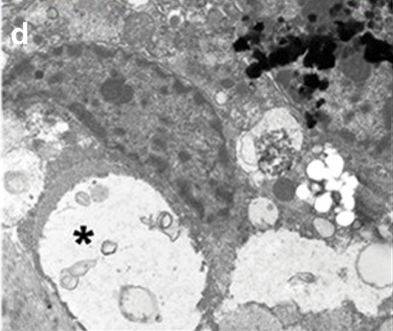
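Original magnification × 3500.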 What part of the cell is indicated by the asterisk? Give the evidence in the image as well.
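A large pale, electron-lucent space lies within the cytoplasm. It holds faint flocculent material and a few membrane fragments. So: intracytoplasmic electron lucent amorphous materials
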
